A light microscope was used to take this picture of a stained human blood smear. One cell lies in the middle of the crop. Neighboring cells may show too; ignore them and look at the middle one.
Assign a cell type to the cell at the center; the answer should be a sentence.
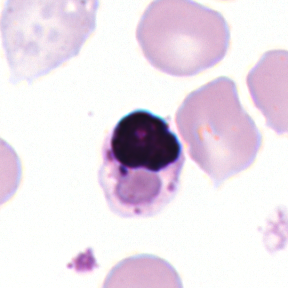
The cell in the exact centre of the crop is an erythroblast.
